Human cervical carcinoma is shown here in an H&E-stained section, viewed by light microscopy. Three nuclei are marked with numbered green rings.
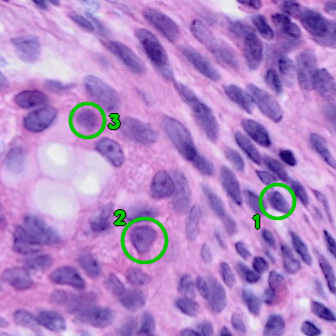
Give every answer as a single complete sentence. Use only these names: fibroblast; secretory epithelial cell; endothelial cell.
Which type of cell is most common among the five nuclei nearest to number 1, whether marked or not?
Around number 1, most of the five nearest nuclei are those of fibroblasts.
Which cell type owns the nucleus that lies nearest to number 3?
Number 3 lies closest to the nucleus of a fibroblast.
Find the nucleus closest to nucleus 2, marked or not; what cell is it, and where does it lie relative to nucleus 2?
The closest nucleus belongs to a secretory epithelial cell and sits above nucleus 2.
